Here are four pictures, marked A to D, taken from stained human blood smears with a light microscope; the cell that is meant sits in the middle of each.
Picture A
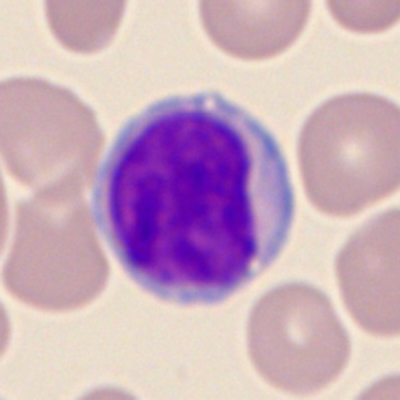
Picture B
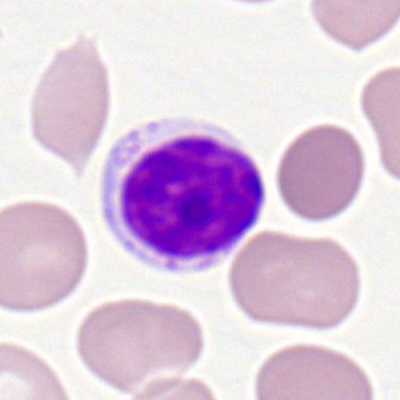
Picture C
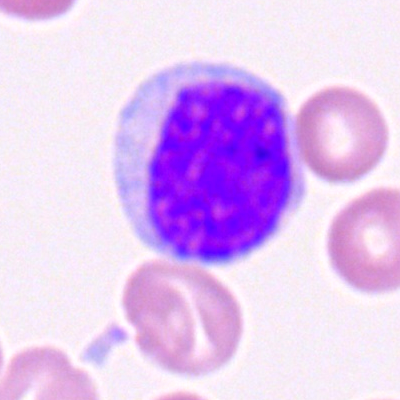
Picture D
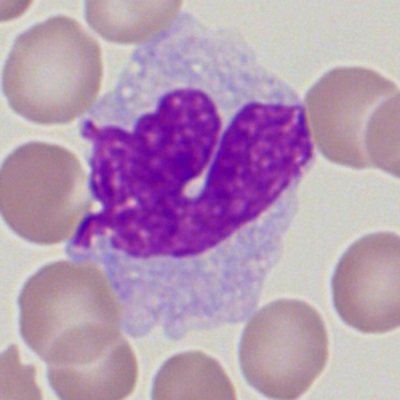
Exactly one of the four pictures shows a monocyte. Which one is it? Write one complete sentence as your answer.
The monocyte is the one in picture D.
